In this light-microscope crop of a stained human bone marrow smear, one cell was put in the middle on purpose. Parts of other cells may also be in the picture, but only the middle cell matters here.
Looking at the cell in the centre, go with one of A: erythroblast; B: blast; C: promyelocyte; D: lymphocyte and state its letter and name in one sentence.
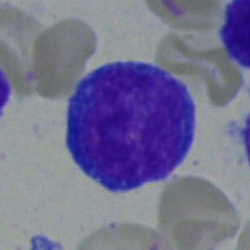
The best answer is option B, since the cell in the middle is a blast.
